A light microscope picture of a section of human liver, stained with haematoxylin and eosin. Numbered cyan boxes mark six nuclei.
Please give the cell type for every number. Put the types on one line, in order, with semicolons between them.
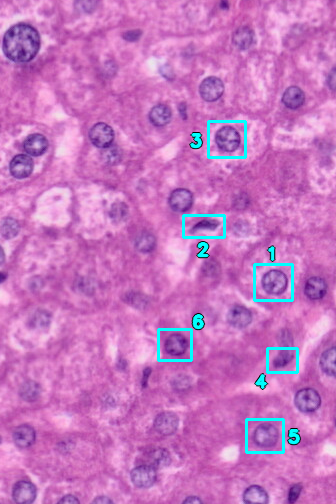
hepatocyte; endothelial cell; hepatocyte; Kupffer cell; hepatocyte; hepatocyte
